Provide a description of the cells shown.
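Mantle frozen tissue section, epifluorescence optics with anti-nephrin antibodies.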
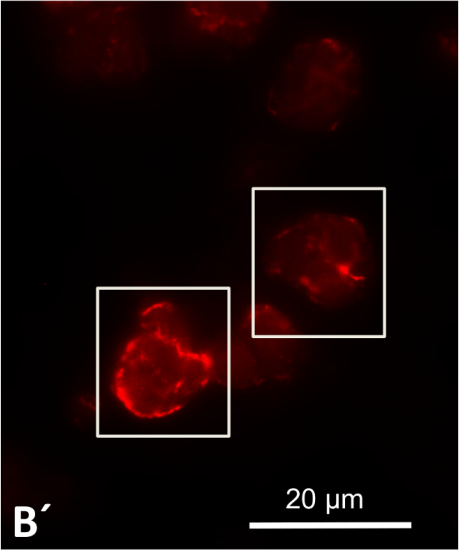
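Two rounded cells are framed by boxes, and both carry a red label against a dark background. In the lower left cell the red is bright and forms a sharp rim along the outline of the cell, with a fainter, patchy interior. The upper right cell shows a weaker, broken red outline with a few brighter dots. These are rhogocytes, and the label lies mostly at the cell periphery. Other rounded cells nearby show only faint red outlines.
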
